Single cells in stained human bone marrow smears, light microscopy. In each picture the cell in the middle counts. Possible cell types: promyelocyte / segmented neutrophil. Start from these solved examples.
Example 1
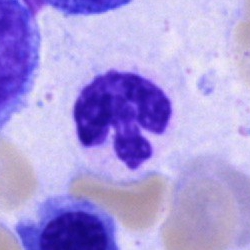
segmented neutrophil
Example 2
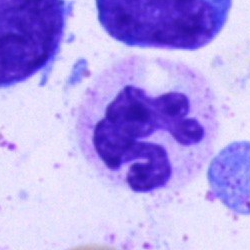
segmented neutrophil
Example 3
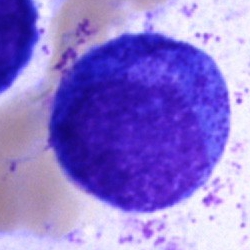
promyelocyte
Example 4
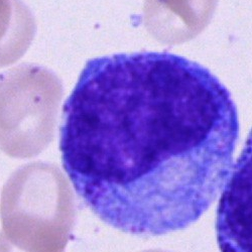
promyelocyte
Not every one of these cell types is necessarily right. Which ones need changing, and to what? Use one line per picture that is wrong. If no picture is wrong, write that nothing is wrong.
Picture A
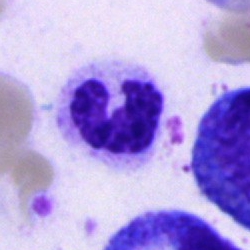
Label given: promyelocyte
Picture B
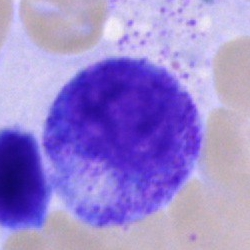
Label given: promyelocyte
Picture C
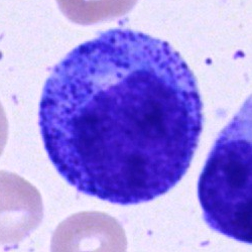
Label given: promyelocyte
A: not promyelocyte but segmented neutrophil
